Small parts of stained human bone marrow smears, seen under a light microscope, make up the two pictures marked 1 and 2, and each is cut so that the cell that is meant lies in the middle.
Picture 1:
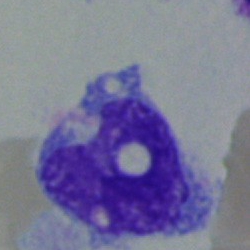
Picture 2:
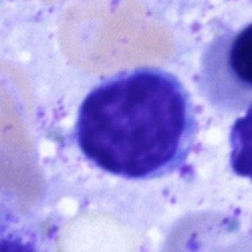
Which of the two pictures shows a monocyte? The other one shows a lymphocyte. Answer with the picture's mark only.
1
